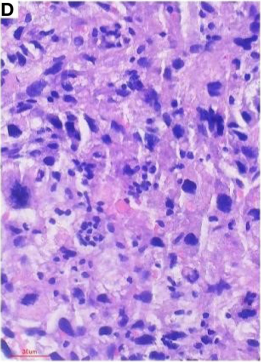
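This field is packed with tumor cells of mixed shapes, some spindle-shaped, some oval and some quite irregular, set in pinkish cytoplasm. Many nuclei are large, dark and oddly shaped, far more varied in size than normal cells would be. Near the centre a single cell carries a cluster of several nuclei, and another large deeply stained cell sits at the left edge. Nucleoli are hard to make out in most nuclei. Together these features speak of marked atypia with bizarre and multinucleated tumor cells.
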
